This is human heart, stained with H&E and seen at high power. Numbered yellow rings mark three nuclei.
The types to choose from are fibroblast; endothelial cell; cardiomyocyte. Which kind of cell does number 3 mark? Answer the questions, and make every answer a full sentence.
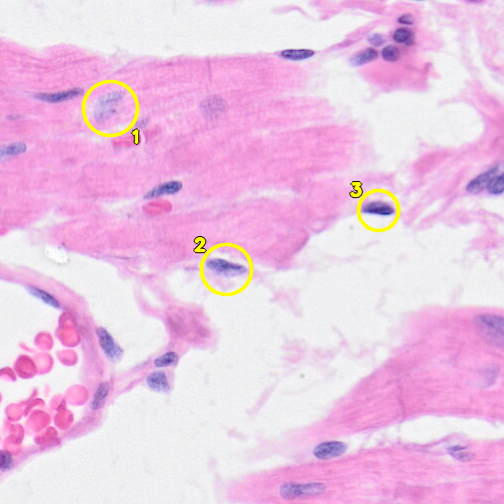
Corresponding to a fibroblast is the cell labelled 3.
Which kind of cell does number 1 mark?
The cell whose nucleus carries the number 1 is a cardiomyocyte.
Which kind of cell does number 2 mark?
The cell indicated with the number 2 is classed as a fibroblast.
